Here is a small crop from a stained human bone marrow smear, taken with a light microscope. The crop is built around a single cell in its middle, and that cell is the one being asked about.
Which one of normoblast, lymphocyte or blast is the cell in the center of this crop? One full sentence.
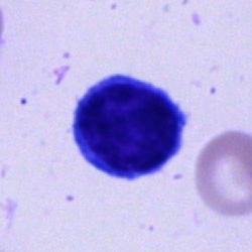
Centred in the crop is a lymphocyte.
